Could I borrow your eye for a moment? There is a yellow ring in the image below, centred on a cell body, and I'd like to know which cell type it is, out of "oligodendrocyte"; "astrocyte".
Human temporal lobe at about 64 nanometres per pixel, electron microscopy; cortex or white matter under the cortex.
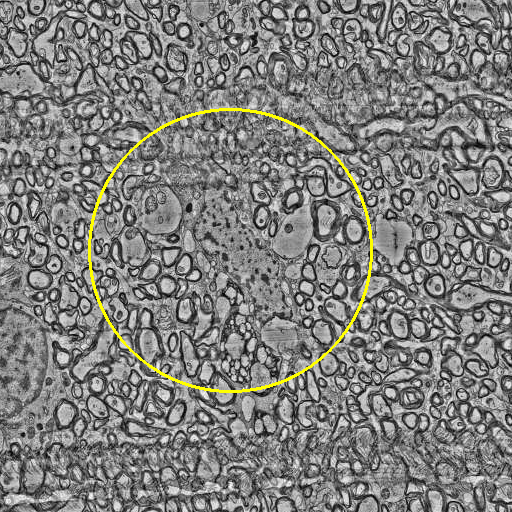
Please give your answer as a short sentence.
The cell body at the centre is that of an astrocyte.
